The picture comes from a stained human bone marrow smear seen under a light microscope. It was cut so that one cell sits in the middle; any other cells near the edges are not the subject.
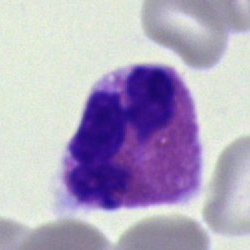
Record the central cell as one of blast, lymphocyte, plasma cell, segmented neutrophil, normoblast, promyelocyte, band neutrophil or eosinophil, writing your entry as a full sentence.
What sits at the centre of this crop is an eosinophil.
